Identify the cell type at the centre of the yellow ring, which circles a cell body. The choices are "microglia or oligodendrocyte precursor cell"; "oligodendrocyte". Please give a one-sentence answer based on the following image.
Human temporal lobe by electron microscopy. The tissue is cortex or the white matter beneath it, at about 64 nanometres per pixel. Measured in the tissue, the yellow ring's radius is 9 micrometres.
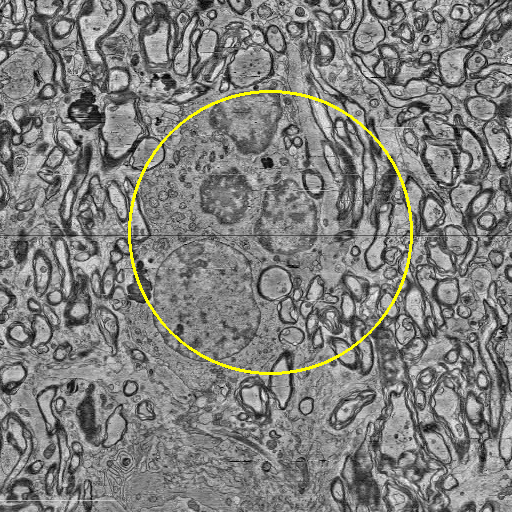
The cell marked by the ring is an oligodendrocyte.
